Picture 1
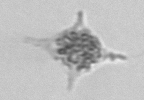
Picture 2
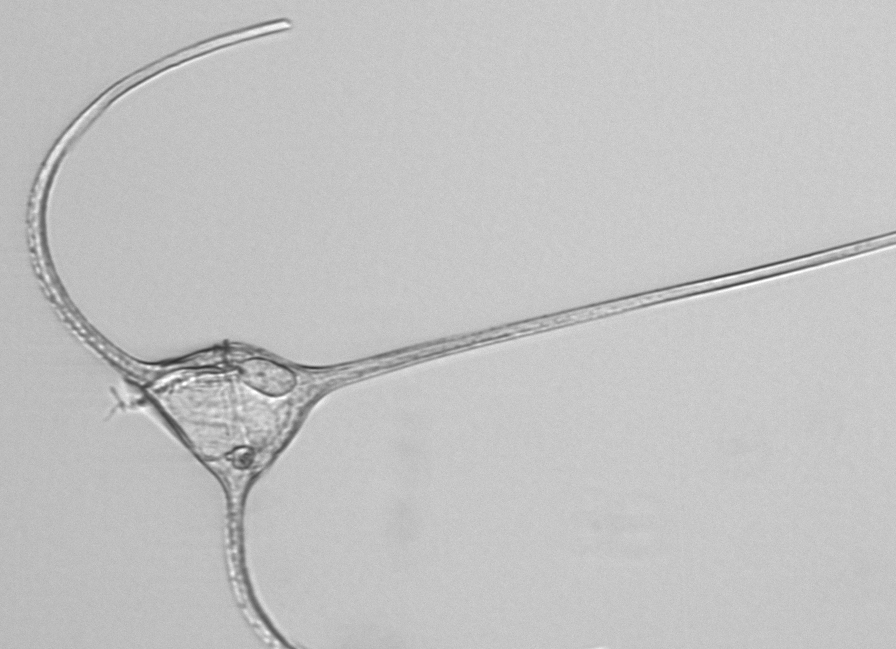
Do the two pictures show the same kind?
No: a silicoflagellate, then Tripos.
